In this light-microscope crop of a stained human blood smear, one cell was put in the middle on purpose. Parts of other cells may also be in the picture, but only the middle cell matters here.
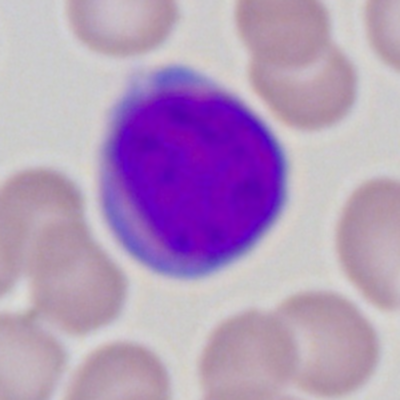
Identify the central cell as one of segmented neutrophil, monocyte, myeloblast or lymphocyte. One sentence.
The centrally located cell in the crop is a myeloblast.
